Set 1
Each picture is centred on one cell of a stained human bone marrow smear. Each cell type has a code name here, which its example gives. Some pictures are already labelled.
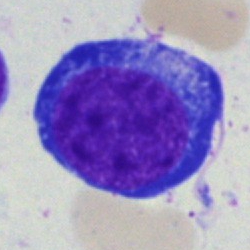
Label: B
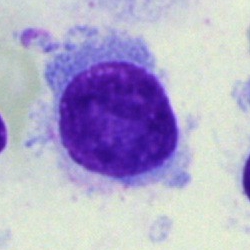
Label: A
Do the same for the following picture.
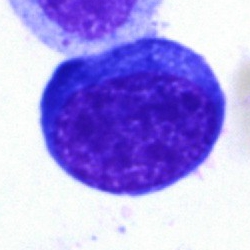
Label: B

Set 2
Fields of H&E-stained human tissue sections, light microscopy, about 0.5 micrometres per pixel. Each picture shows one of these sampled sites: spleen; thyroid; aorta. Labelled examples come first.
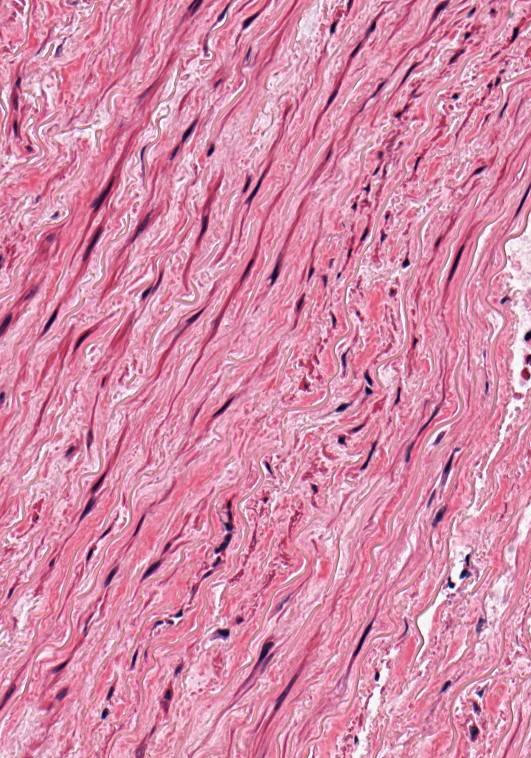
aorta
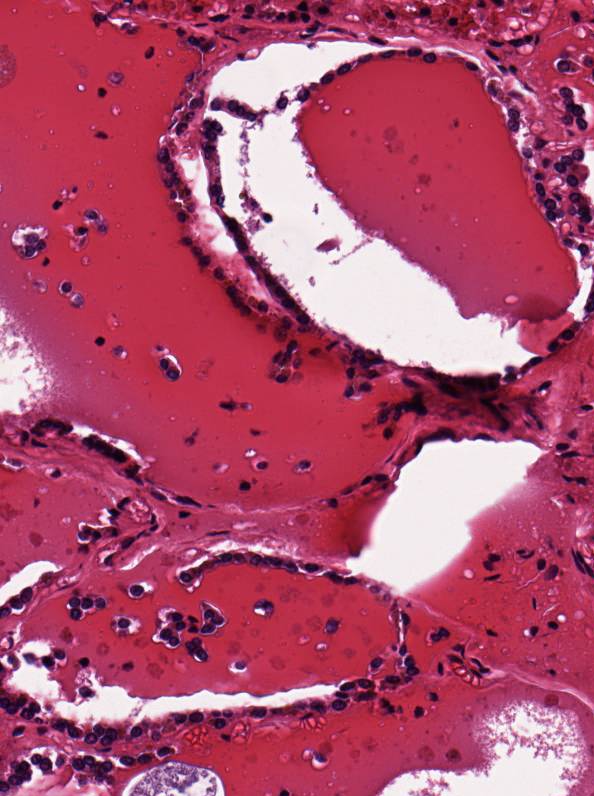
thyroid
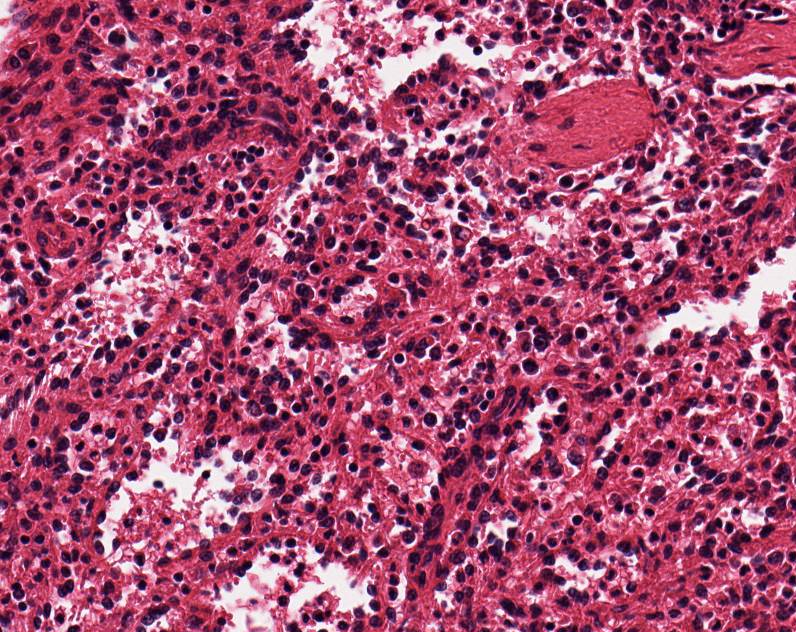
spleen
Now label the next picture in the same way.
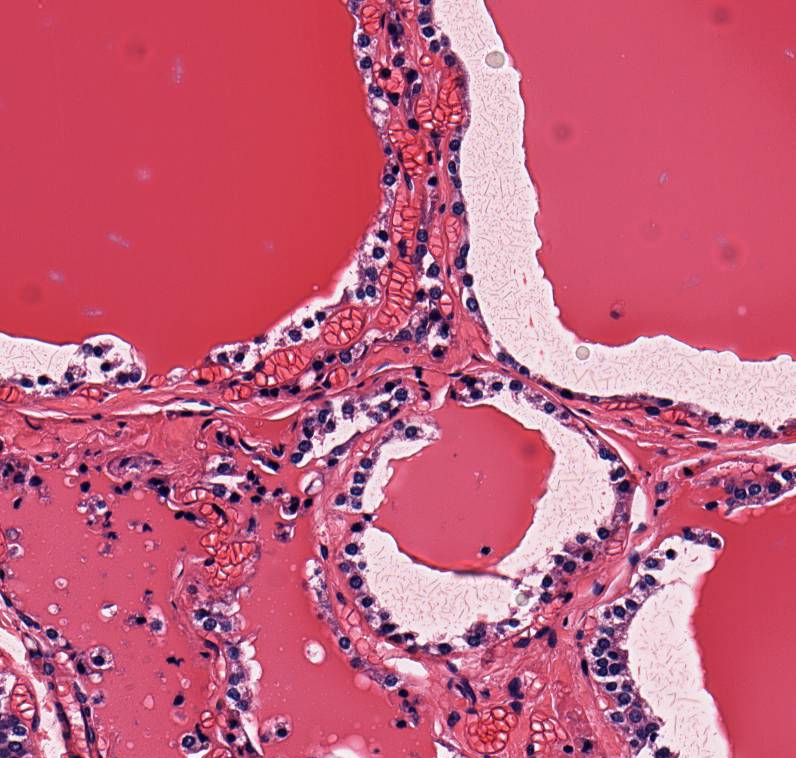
thyroid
